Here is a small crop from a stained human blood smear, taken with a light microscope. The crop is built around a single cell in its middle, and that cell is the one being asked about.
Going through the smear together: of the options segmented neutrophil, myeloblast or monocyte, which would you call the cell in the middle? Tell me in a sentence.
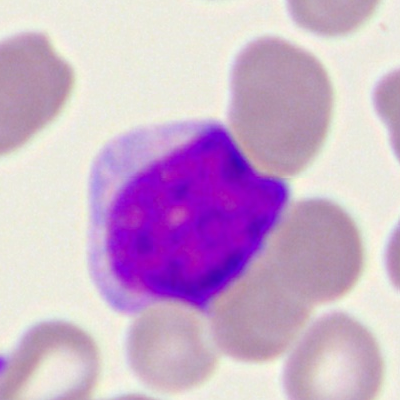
The cell the crop is centered on is a myeloblast.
